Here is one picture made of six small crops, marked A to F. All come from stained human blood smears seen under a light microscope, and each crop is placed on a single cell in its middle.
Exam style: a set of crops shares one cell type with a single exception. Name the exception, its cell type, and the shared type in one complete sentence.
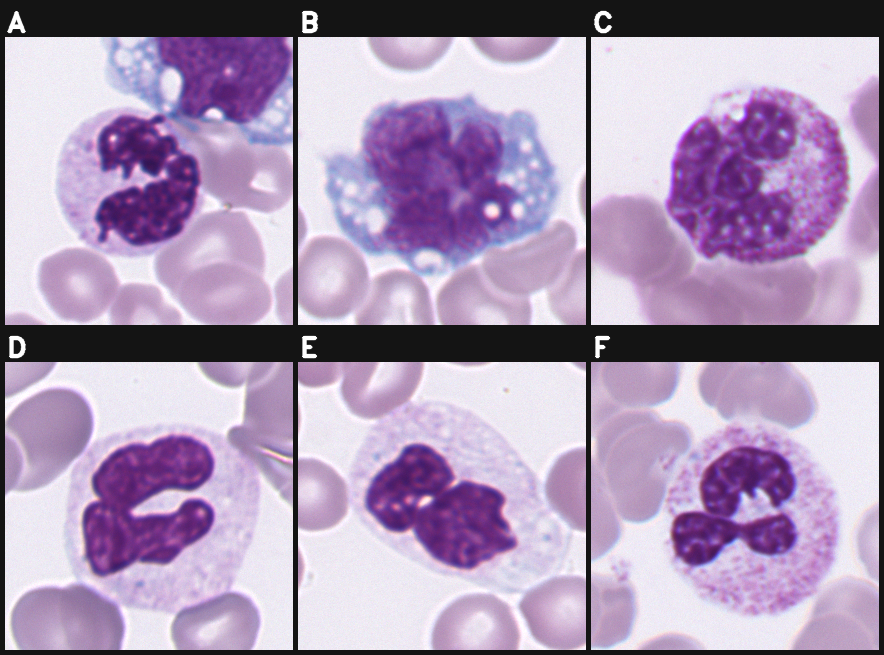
Unlike the rest, which all show neutrophils, crop B contains a monocyte.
